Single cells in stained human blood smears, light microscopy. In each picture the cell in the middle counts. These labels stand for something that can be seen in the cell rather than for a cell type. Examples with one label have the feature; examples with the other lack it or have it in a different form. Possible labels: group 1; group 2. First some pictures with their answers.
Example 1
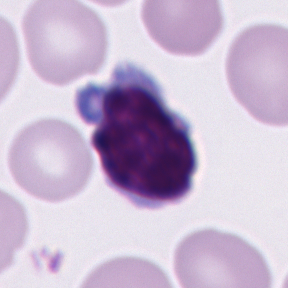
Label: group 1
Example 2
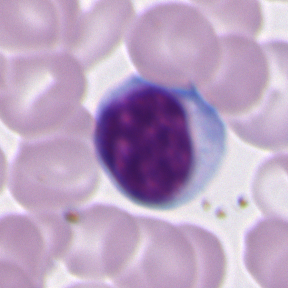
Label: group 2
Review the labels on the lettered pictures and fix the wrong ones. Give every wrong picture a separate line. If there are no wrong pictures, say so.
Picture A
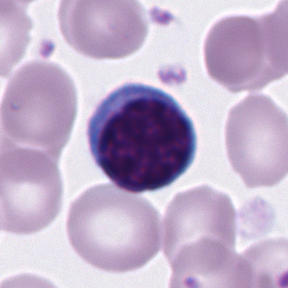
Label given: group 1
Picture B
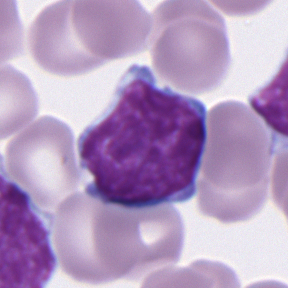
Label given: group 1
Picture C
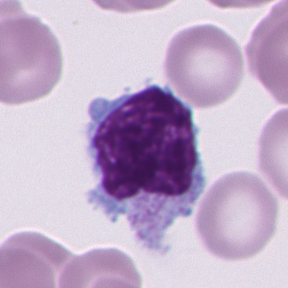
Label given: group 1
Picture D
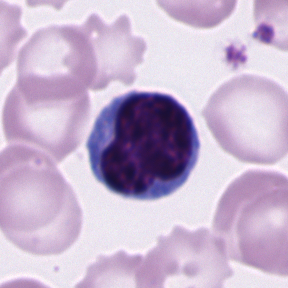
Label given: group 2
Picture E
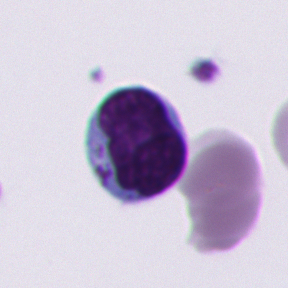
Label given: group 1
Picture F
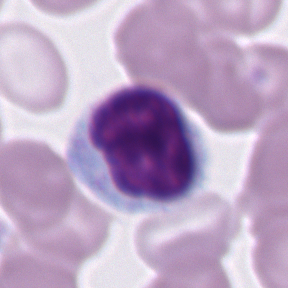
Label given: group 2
A is labelled group 1; correct label: group 2
E is labelled group 1; correct label: group 2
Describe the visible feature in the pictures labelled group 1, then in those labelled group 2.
group 1: ragged outline or projections; group 2: smooth outline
